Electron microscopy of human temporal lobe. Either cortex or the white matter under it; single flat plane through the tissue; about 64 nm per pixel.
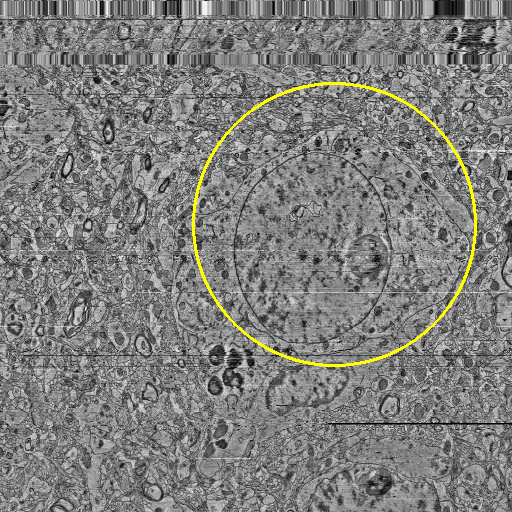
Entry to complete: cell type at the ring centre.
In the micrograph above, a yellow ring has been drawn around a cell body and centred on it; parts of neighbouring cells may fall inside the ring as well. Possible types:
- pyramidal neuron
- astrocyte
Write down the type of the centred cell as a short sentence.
The ring is centred on a pyramidal neuron.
